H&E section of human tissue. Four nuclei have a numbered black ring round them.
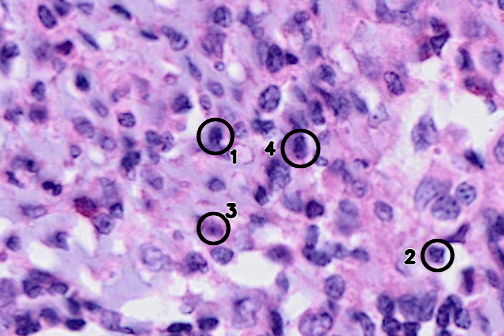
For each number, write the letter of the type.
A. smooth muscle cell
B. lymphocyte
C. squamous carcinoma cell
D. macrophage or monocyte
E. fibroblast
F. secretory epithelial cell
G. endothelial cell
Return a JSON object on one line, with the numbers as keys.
{"1": "B", "2": "B", "3": "D", "4": "B"}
